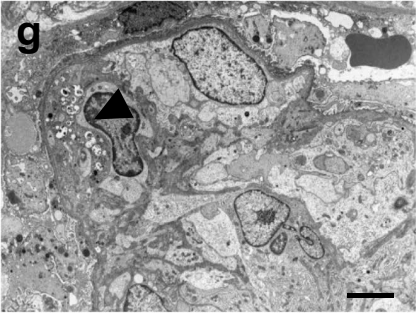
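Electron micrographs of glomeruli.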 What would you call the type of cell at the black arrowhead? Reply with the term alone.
Inflammatory and foam cells.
